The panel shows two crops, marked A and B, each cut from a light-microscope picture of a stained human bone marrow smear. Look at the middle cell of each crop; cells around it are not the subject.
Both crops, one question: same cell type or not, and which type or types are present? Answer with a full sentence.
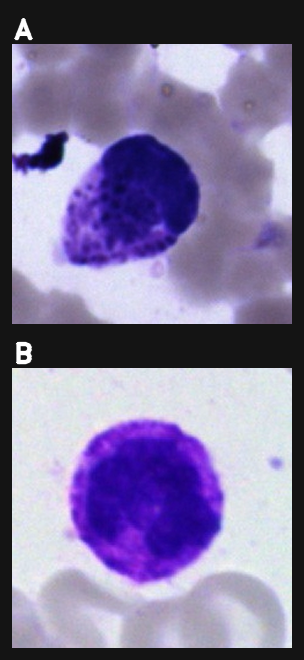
Yes, in short, both crops show basophils.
